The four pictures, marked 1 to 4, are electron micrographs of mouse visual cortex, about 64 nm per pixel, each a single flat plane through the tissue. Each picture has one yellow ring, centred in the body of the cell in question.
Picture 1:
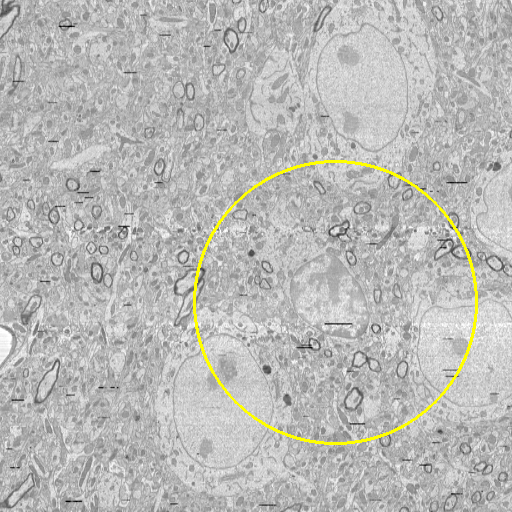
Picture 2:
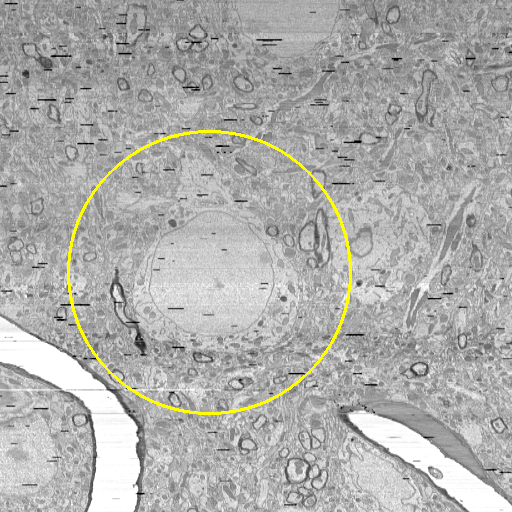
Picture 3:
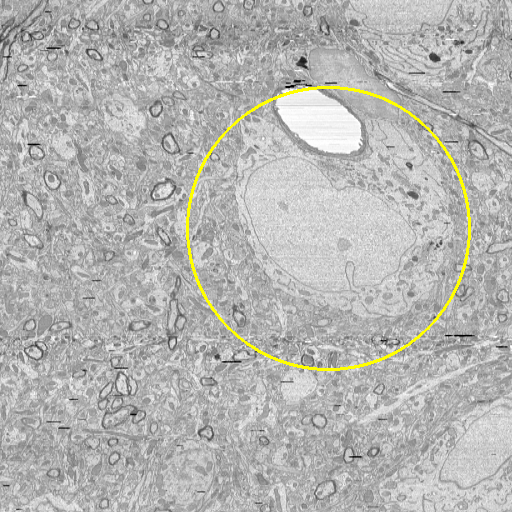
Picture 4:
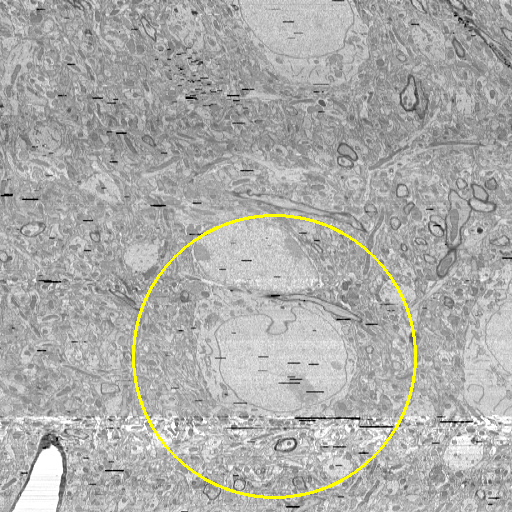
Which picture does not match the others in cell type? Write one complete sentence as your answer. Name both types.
All pictures except 1 show excitatory neurons; picture 1 shows an oligodendrocyte.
